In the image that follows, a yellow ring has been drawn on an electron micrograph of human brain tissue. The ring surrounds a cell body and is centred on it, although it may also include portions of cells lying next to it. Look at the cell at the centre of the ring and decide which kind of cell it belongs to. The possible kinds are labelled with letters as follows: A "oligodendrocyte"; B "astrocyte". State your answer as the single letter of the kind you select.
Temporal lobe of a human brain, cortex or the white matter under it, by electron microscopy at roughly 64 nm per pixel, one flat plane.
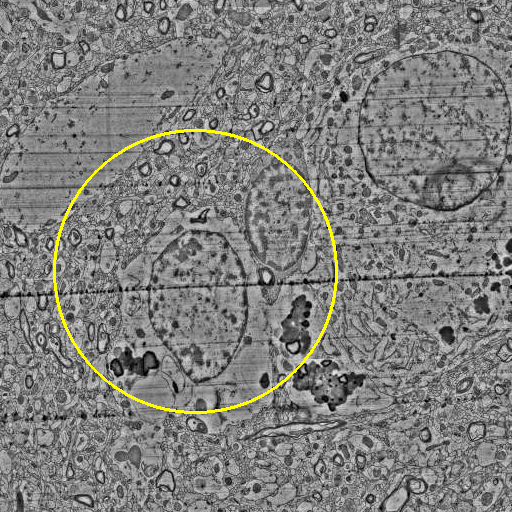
B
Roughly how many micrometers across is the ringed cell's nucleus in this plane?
In this plane, the nucleus of the cell at the centre of the ring measures about 10 by 6 micrometres.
